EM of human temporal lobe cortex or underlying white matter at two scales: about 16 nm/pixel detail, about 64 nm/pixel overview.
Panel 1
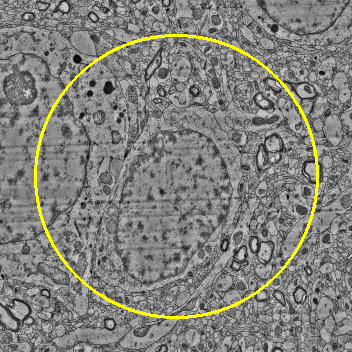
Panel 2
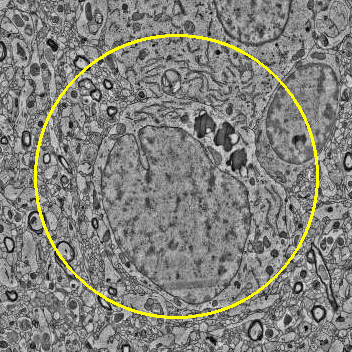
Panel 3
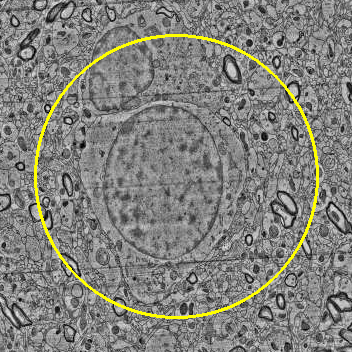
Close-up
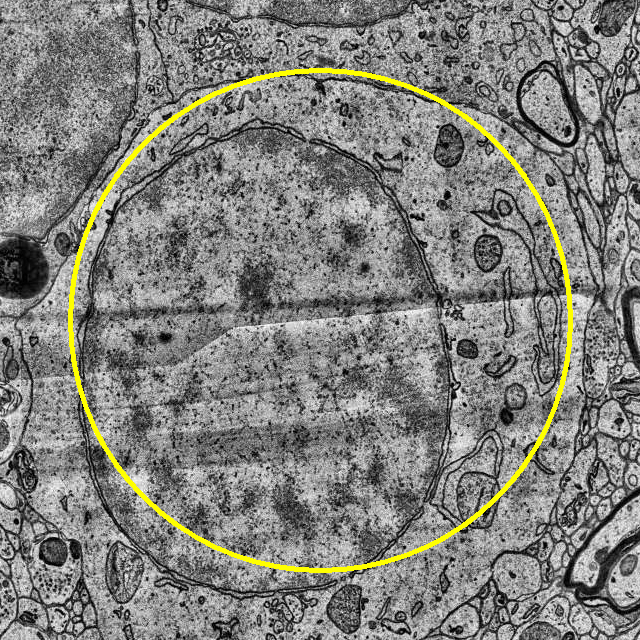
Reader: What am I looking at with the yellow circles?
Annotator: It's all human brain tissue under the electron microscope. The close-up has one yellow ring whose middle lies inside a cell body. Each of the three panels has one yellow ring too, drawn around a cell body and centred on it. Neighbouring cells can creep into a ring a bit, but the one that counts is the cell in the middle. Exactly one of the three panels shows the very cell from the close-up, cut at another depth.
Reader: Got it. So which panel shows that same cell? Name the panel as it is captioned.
Panel 3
